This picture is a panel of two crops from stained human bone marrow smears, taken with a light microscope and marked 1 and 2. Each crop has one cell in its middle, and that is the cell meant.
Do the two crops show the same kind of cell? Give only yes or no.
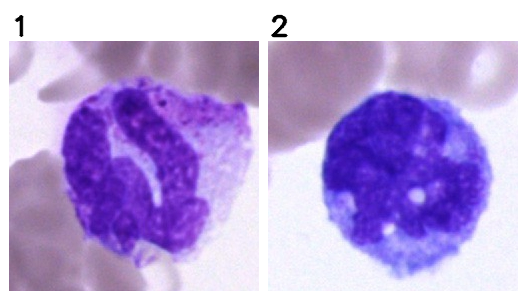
yes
